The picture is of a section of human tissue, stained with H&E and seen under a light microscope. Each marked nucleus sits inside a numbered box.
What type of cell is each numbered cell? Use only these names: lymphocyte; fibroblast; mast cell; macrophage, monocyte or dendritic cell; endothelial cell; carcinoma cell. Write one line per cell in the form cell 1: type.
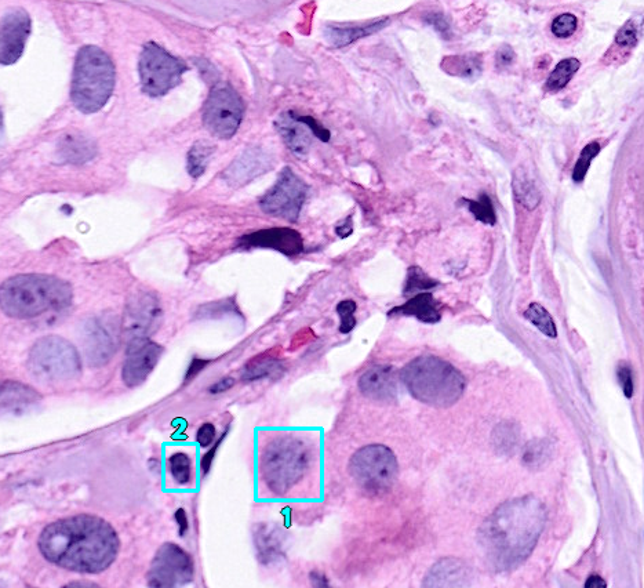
cell 1: carcinoma cell
cell 2: lymphocyte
